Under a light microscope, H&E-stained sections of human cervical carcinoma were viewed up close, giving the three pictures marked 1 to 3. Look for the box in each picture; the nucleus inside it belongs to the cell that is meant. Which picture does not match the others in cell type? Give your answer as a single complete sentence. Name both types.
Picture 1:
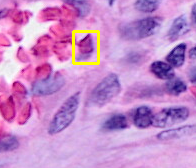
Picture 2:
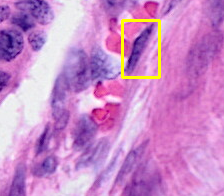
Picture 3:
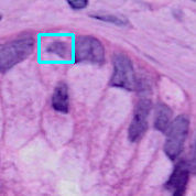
Picture 3 is the odd one out: it shows a secretory epithelial cell, while the others show endothelial cells.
